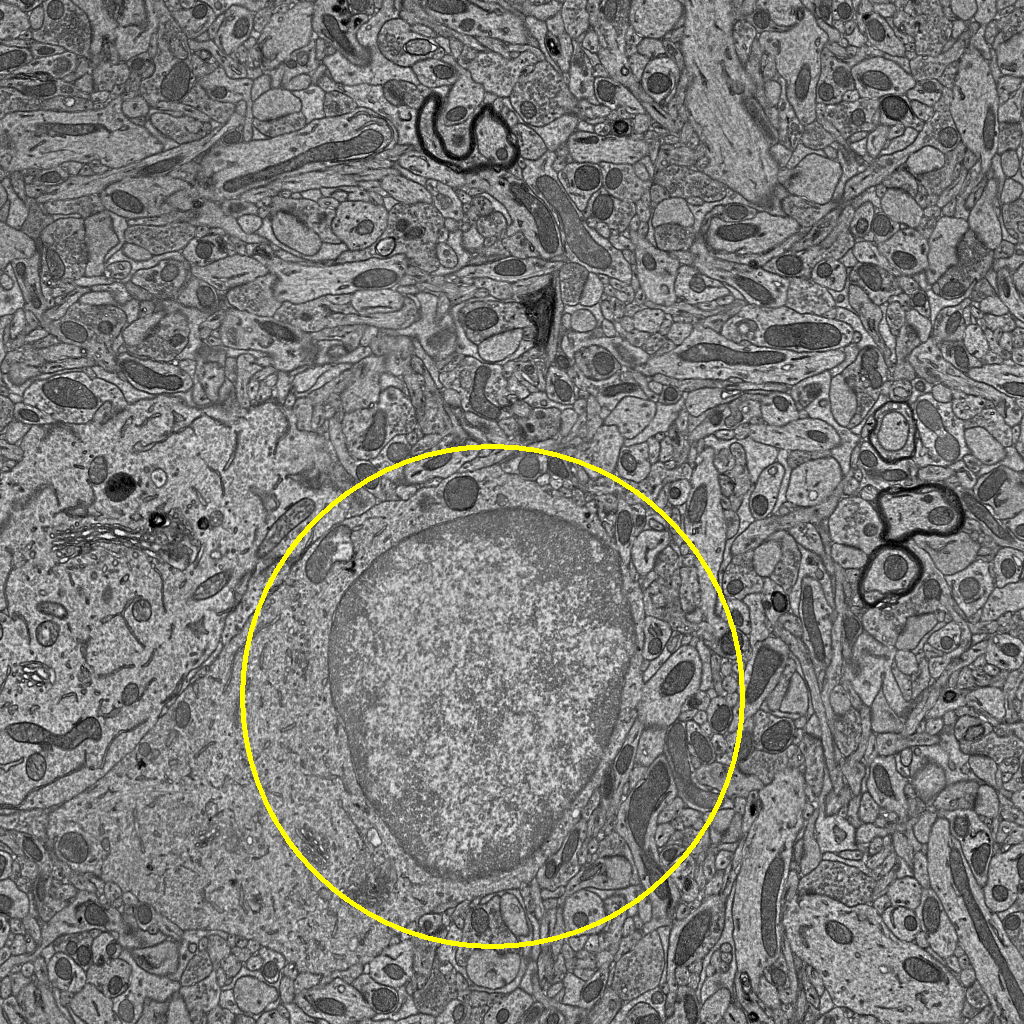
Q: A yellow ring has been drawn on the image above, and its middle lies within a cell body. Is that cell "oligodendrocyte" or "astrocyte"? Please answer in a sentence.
The ring's middle lies in the cell body of an oligodendrocyte.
